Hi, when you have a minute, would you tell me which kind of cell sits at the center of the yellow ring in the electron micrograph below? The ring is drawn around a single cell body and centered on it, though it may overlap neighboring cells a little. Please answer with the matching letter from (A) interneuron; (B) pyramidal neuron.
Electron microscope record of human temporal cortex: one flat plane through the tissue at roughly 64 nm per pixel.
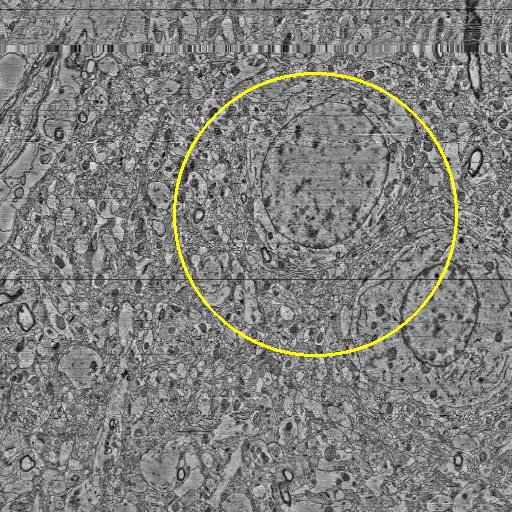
B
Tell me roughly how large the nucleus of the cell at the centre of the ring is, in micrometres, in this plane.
The nucleus works out at approximately 10 by 8 micrometres in this plane.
